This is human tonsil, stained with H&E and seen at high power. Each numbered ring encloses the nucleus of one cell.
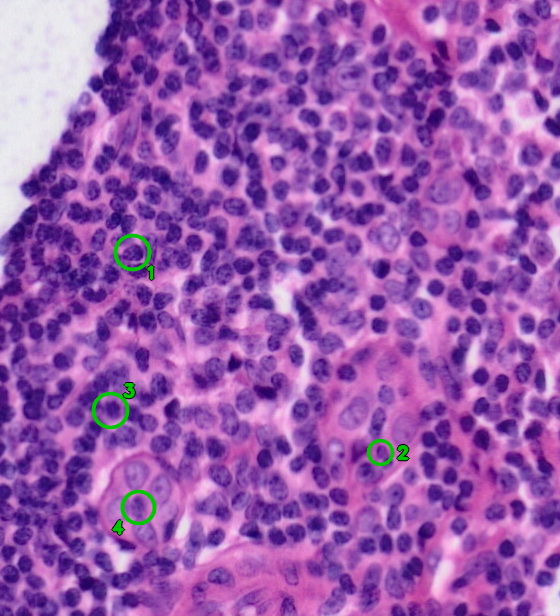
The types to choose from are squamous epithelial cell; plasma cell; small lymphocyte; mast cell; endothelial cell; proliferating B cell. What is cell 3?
small lymphocyte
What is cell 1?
small lymphocyte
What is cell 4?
endothelial cell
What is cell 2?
endothelial cell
